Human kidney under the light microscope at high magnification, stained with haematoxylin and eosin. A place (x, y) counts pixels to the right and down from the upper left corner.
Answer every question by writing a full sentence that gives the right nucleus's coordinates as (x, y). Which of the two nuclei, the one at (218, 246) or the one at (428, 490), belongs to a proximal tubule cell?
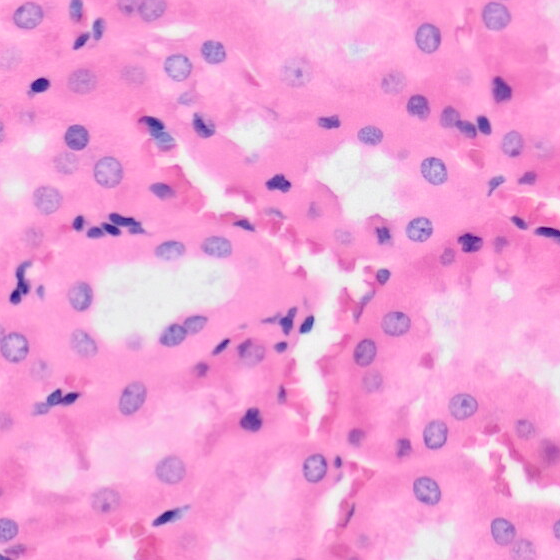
The nucleus contained in a proximal tubule cell is the one at (428, 490).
